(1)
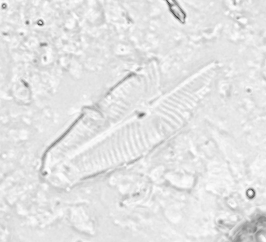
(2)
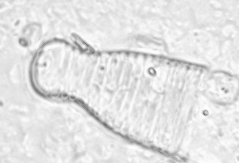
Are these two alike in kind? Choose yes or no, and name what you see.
No. First Sellaphora, second Diatoma.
